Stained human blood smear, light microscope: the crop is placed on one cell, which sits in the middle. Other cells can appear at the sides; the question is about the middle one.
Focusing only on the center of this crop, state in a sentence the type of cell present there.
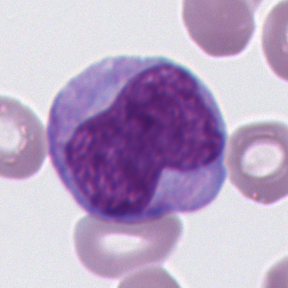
The cell sitting right in the middle is an atypical promyelocyte.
